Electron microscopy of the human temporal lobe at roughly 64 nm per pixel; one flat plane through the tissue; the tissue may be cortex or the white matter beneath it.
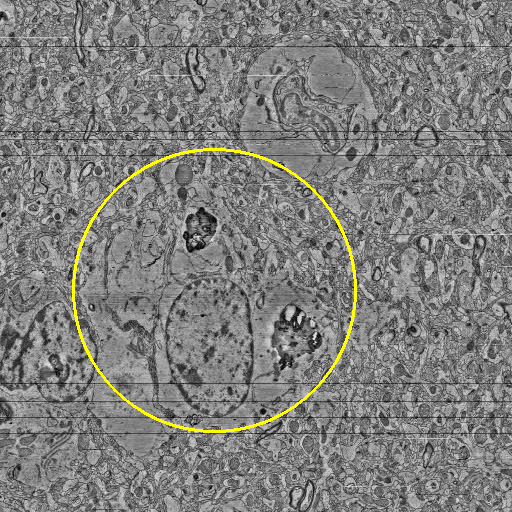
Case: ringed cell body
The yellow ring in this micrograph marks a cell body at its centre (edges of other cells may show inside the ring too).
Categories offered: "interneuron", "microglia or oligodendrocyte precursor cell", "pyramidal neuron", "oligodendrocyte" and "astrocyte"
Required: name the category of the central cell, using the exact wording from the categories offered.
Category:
astrocyte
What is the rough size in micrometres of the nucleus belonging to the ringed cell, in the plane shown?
Roughly 9 micrometres by 6 micrometres, in this plane.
